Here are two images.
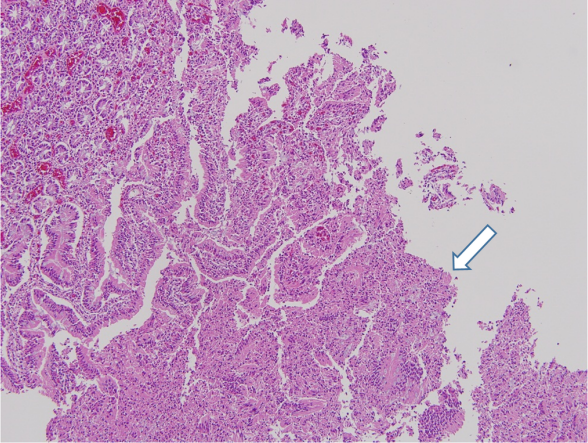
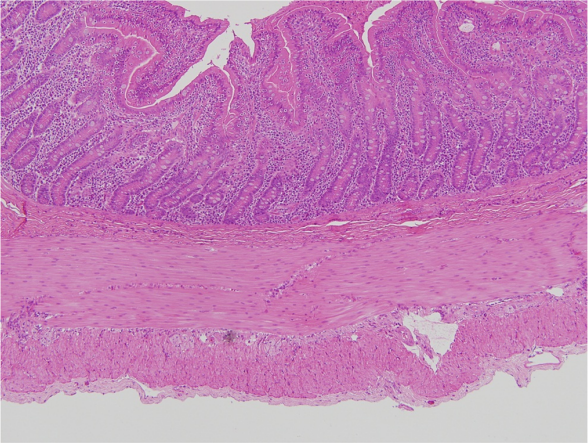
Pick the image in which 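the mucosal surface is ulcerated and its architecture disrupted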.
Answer: the first image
